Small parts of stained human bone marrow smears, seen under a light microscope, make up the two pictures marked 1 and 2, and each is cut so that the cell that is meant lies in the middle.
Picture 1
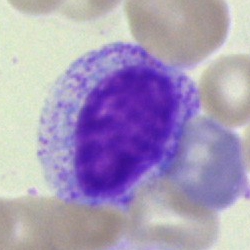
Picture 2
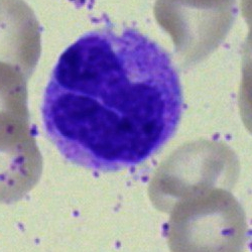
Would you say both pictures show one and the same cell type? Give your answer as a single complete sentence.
No, the types are not the same, since picture 1 shows a myelocyte and picture 2 a metamyelocyte.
